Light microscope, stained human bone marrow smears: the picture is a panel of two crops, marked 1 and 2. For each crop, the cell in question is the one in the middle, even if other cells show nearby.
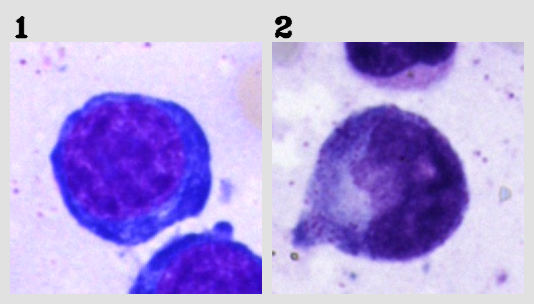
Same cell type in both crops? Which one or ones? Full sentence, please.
No, the cells are a proerythroblast in crop 1 and a promyelocyte in crop 2.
